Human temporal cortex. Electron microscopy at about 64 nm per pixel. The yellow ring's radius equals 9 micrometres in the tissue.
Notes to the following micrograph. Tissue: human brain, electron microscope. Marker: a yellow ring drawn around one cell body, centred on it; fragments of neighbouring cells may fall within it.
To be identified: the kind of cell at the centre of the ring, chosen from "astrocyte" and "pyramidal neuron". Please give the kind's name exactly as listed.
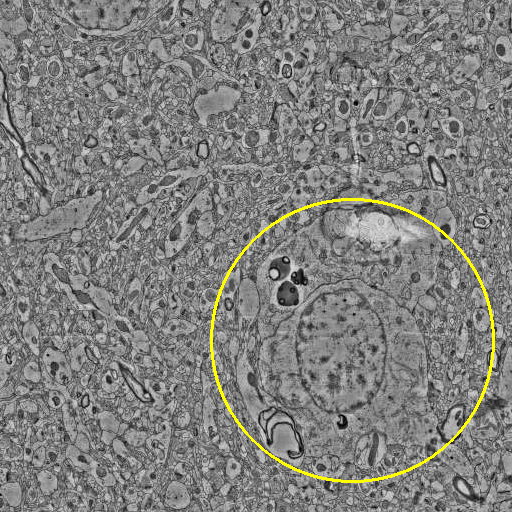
pyramidal neuron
